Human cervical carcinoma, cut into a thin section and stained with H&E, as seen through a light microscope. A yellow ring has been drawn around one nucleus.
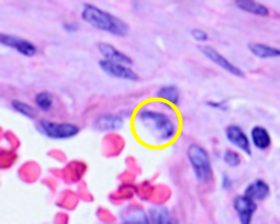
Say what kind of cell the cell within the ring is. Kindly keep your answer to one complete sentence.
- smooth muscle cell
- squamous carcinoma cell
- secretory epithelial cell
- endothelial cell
The correct response here is that the cell within the ring is an endothelial cell.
